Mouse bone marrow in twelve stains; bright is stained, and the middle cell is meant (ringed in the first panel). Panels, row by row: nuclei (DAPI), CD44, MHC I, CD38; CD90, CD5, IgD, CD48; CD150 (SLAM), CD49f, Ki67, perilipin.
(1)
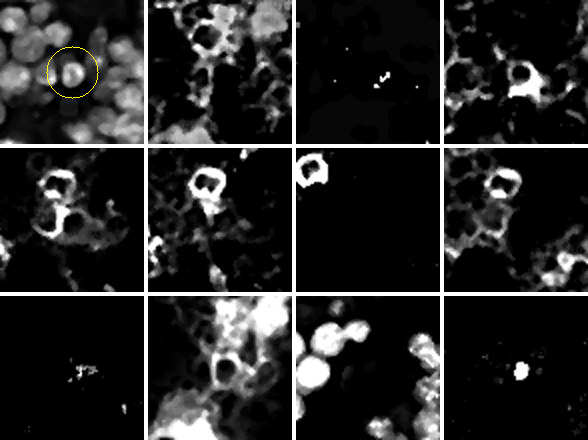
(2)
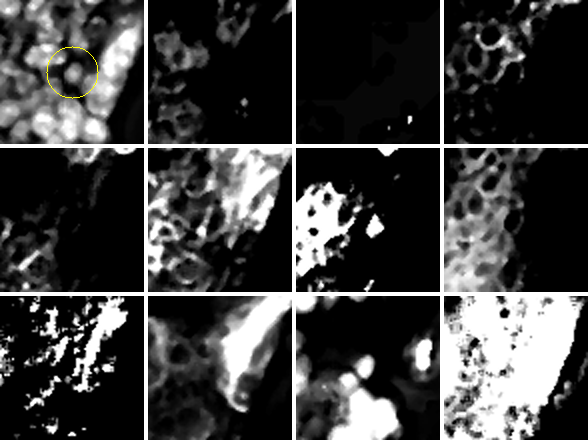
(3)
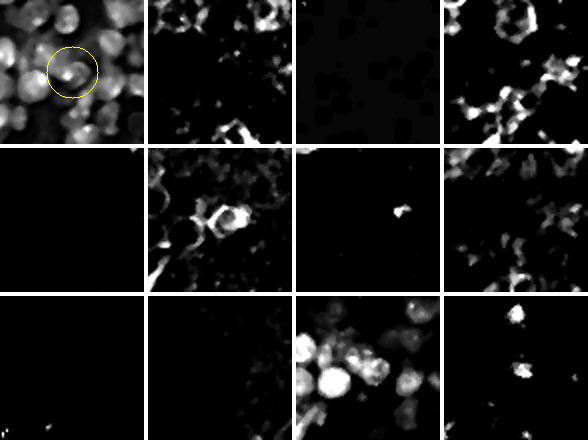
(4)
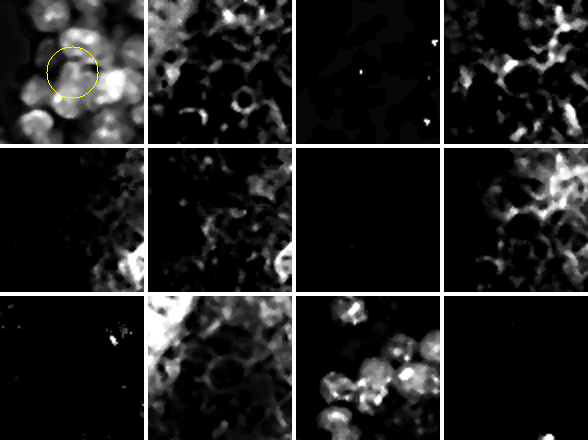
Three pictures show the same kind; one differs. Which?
Picture 1: a capillary endothelial cell, while the others are erythroblasts.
